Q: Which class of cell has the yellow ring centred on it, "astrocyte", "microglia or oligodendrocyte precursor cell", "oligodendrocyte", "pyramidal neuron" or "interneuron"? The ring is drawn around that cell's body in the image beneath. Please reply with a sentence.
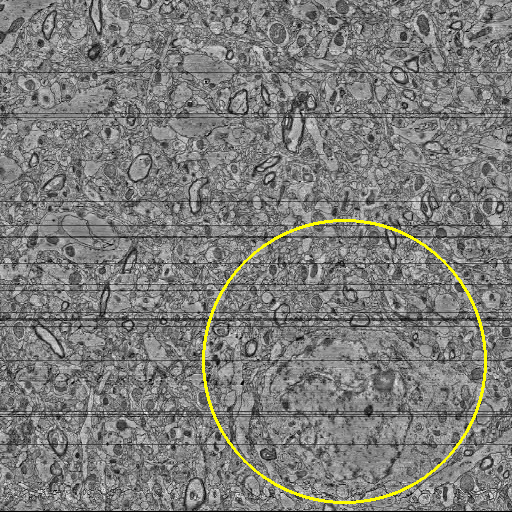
It is centred on an interneuron.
